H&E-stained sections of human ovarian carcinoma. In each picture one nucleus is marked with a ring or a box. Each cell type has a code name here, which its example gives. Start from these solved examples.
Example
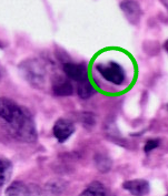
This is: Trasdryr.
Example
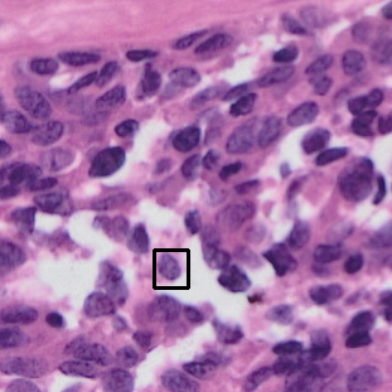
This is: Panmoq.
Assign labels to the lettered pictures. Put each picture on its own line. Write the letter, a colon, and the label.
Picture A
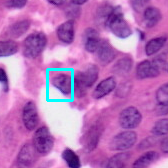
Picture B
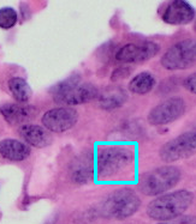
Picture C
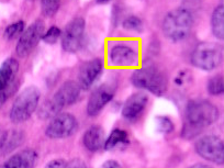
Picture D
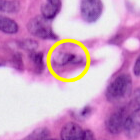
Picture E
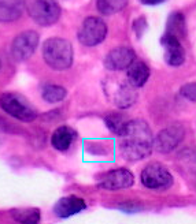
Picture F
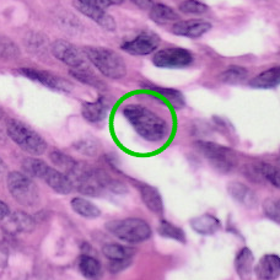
A: Panmoq.
B: Trasdryr.
C: Panmoq.
D: Panmoq.
E: Panmoq.
F: Trasdryr.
